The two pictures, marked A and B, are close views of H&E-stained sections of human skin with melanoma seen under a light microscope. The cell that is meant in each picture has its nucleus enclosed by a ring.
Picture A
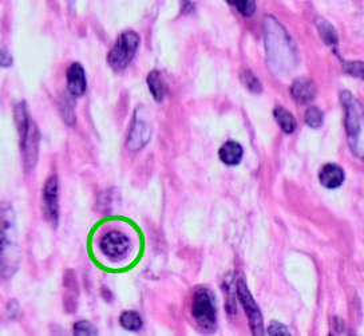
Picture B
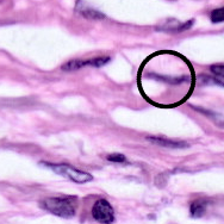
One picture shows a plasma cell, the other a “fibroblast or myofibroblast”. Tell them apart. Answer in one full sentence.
It is picture A that shows a plasma cell, and picture B that shows a “fibroblast or myofibroblast”.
